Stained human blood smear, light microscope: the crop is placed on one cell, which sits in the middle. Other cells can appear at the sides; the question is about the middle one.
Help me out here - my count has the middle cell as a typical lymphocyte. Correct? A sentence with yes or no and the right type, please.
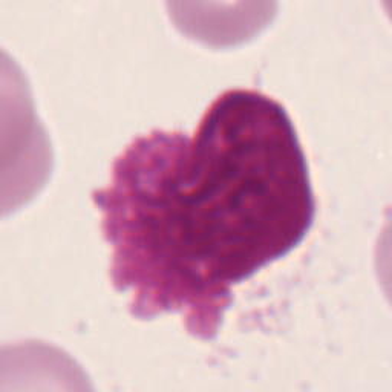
No, what is centred in the crop is not a typical lymphocyte but a smudge cell.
